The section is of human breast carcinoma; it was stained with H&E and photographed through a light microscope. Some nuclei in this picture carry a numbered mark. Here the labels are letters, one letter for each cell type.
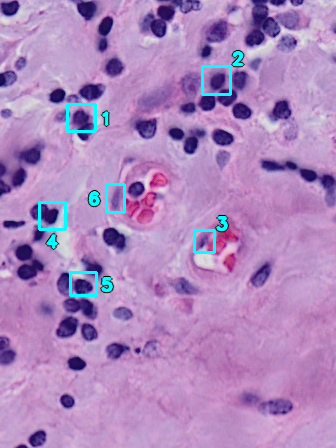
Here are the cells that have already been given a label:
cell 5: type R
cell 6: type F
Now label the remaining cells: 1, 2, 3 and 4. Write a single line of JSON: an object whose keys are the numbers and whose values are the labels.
{"1": "type R", "2": "type R", "3": "type F", "4": "type R"}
